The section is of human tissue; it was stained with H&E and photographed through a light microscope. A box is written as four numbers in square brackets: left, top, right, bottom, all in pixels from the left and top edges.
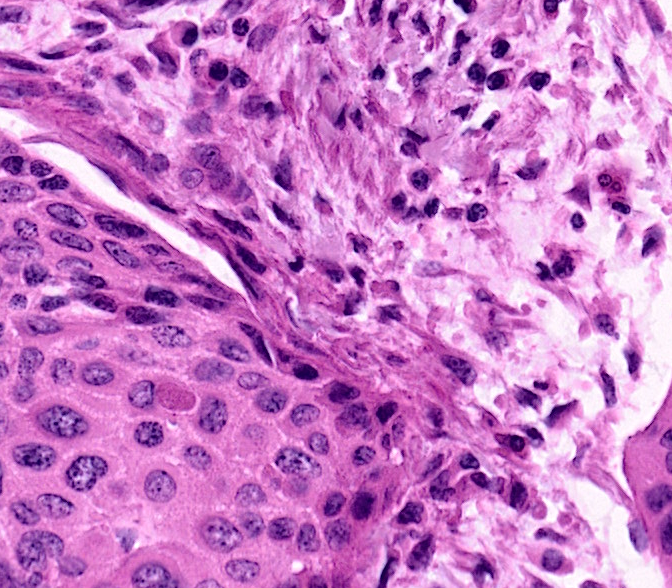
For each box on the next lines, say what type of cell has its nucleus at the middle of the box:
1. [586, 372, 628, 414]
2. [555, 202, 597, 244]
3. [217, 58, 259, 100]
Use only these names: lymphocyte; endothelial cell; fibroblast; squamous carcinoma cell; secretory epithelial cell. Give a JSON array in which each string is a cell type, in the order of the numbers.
["fibroblast", "lymphocyte", "lymphocyte"]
